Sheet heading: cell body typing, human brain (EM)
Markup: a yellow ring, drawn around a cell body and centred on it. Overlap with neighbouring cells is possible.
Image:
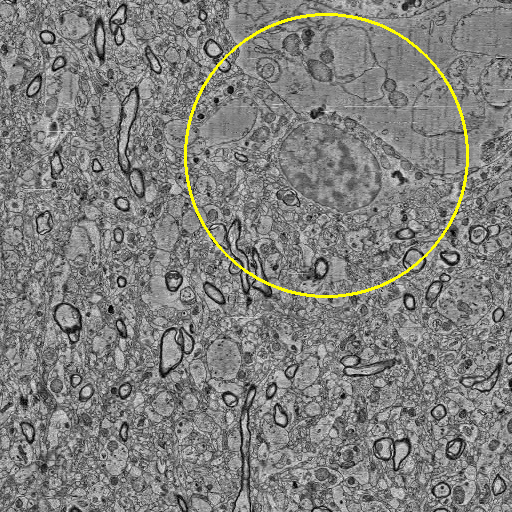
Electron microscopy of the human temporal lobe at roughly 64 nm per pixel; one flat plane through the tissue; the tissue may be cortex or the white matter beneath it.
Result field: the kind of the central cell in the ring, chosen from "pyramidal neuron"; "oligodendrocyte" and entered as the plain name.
oligodendrocyte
